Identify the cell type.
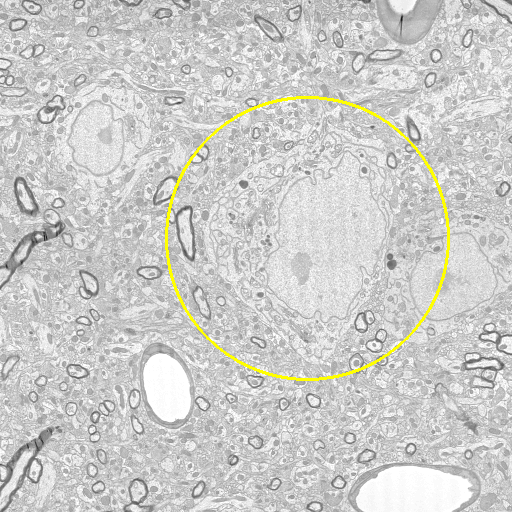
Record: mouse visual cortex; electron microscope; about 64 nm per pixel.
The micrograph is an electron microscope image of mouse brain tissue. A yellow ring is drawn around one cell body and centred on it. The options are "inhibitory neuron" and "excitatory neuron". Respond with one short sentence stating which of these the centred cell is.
The cell body in the ring belongs to an inhibitory neuron.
